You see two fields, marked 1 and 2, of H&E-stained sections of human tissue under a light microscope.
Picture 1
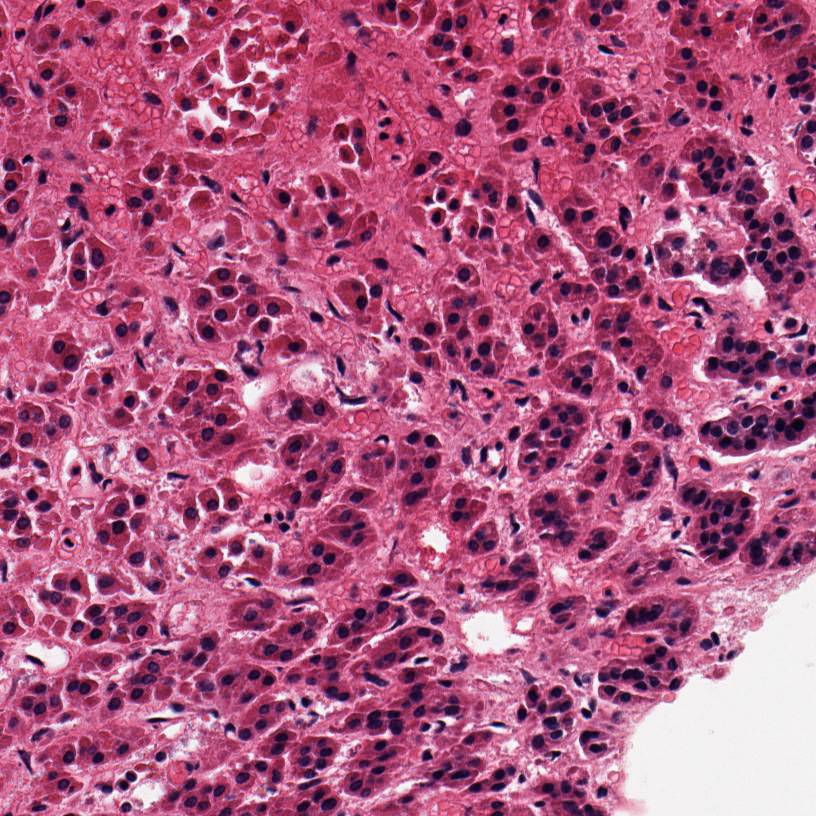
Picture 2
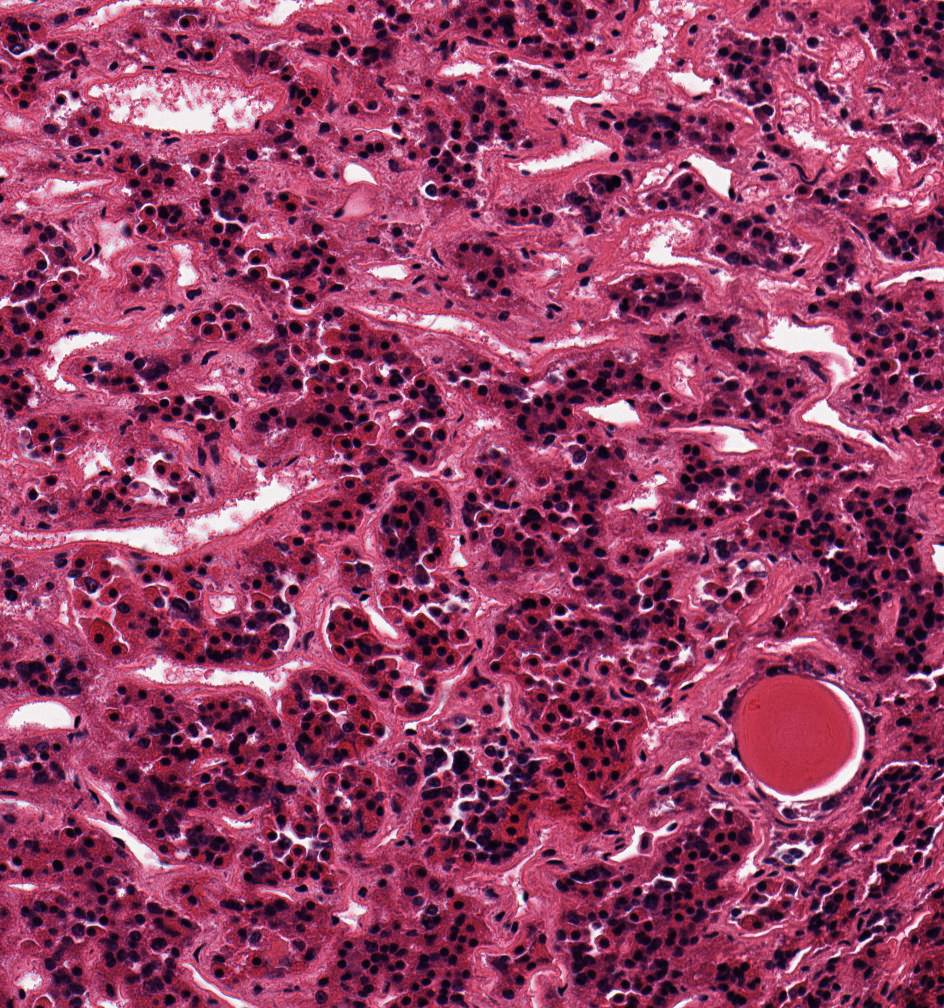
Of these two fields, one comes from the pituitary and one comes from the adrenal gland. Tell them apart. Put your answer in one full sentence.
Picture 1 comes from the adrenal gland and picture 2 comes from the pituitary.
